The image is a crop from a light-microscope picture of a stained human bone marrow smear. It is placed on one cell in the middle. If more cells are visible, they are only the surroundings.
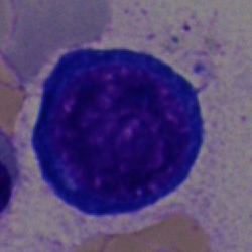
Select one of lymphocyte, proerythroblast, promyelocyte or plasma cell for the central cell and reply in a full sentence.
The central cell, amid any neighbouring cells, is a proerythroblast.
